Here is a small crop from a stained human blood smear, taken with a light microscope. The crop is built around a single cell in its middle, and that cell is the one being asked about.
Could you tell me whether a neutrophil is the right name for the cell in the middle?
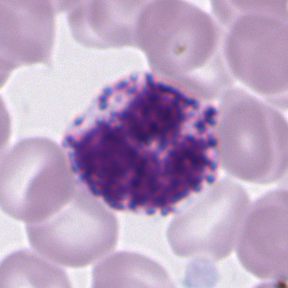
no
